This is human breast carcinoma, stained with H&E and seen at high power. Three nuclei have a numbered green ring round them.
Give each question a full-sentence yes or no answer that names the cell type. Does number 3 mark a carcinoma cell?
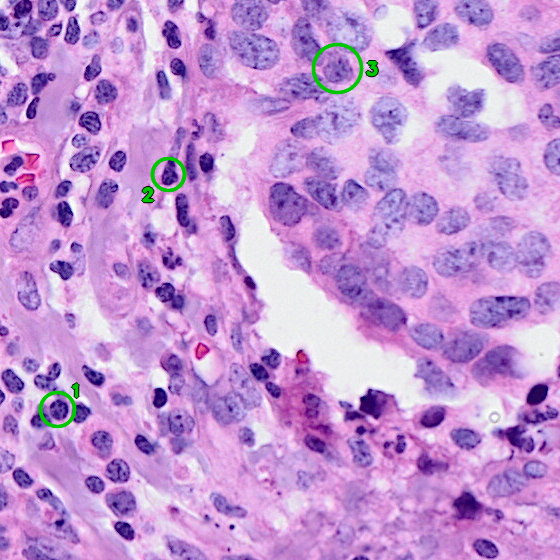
Yes, the cell that the number 3 labels is a carcinoma cell.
